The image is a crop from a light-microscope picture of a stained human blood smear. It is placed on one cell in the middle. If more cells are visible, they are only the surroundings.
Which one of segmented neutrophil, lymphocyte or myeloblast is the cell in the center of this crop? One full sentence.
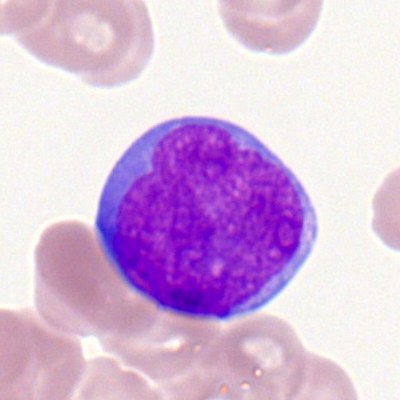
To answer, the cell in the center of the crop is a myeloblast.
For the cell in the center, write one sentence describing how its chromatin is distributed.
The chromatin here is fine and lacks any coarse clumps.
